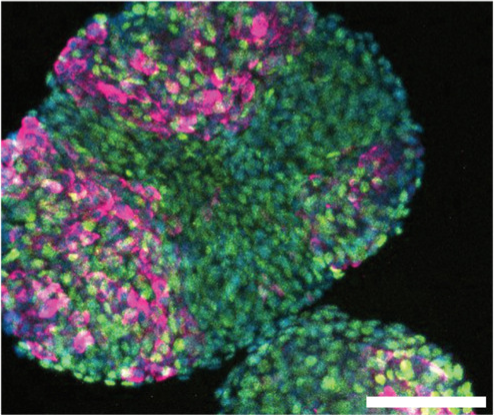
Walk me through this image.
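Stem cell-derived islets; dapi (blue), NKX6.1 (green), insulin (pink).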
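These are densely packed cell clusters seen by fluorescence, with nearly every nucleus outlined in blue and many nuclei also lit green. Pink-filled cells gather in patches within the clusters, especially toward the left and lower edges, while other regions are made mostly of green and blue nuclei.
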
